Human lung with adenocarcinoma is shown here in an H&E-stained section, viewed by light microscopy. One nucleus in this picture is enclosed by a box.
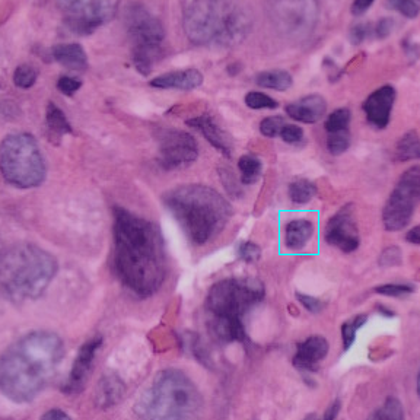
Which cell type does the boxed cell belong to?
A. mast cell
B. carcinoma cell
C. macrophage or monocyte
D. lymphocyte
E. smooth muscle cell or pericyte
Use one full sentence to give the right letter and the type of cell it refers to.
Right answer, option D: the boxed cell is a lymphocyte.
